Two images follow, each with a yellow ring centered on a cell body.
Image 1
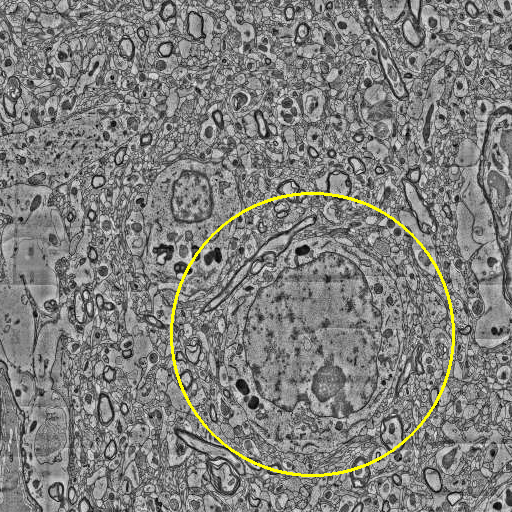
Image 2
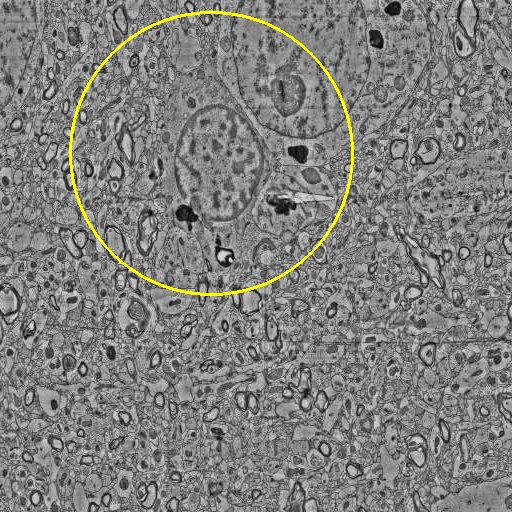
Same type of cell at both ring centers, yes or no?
no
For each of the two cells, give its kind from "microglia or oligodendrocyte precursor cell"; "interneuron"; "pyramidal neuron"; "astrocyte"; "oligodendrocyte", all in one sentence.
The first picture has a pyramidal neuron in its ring, the second has an oligodendrocyte.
